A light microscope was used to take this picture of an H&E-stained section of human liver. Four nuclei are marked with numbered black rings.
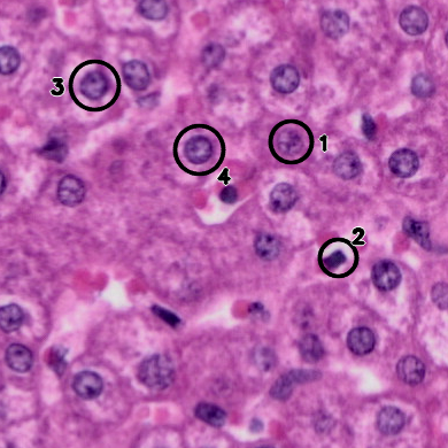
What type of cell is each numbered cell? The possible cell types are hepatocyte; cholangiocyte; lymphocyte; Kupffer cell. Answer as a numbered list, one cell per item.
1. hepatocyte
2. lymphocyte
3. hepatocyte
4. hepatocyte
